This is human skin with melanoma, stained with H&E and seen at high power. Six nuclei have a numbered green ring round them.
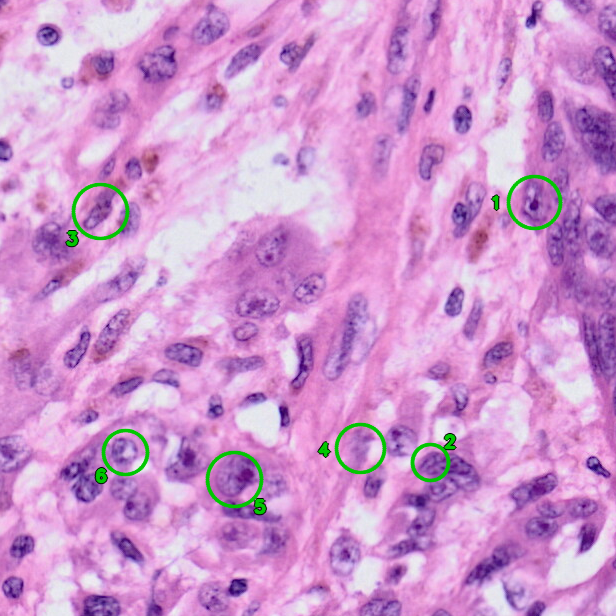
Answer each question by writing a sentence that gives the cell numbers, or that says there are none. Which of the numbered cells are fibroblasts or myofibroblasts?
The only cell among those numbered to be a fibroblast or myofibroblast is number 4.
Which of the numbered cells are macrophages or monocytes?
Among the numbered cells, the one that is a macrophage or monocyte is cell 3 alone.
